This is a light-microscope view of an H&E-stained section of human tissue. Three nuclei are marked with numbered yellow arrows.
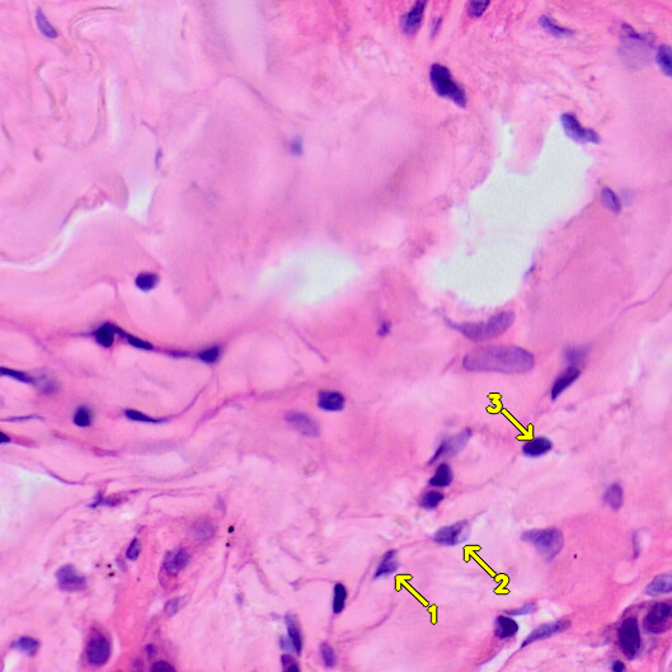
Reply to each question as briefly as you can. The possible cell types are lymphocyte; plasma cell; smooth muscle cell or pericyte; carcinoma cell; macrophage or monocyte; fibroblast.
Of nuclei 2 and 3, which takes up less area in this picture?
3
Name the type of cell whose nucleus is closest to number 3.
fibroblast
